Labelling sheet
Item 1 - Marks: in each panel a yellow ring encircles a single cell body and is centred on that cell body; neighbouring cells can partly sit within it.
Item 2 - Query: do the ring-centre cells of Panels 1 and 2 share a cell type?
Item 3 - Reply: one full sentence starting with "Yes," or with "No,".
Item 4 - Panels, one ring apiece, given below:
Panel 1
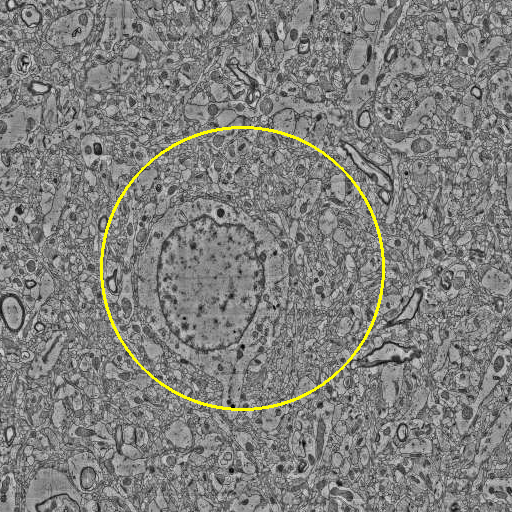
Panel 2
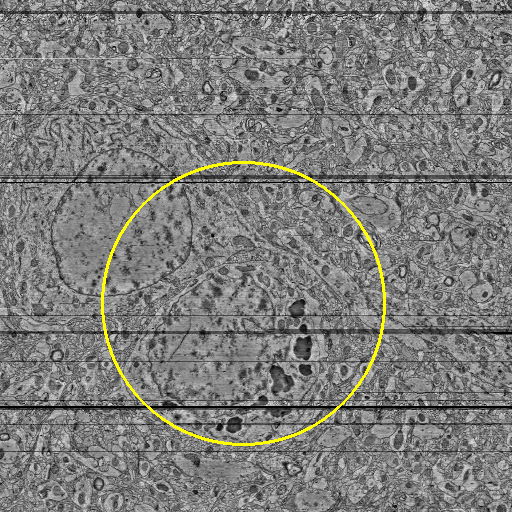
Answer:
No, Panel 1 and Panel 2 show two cell types at the centres of their rings.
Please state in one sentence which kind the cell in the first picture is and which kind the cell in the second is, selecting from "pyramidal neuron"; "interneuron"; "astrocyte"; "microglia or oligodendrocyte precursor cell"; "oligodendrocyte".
The first ringed cell is a pyramidal neuron, the second ringed cell an interneuron.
